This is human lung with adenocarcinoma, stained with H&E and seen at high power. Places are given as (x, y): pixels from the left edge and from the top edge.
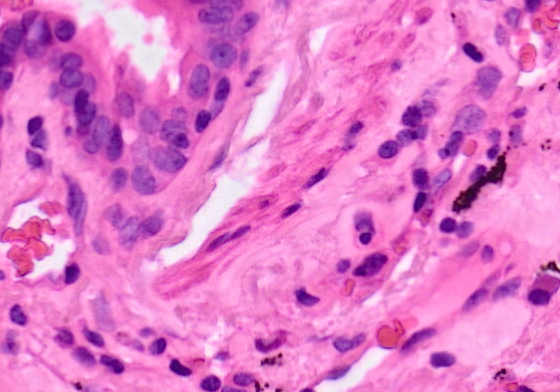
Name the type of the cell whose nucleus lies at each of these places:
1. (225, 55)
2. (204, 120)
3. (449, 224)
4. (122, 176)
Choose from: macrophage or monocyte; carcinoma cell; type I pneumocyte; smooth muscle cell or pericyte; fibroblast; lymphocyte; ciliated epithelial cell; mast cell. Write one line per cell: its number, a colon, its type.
1: ciliated epithelial cell
2: lymphocyte
3: lymphocyte
4: ciliated epithelial cell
